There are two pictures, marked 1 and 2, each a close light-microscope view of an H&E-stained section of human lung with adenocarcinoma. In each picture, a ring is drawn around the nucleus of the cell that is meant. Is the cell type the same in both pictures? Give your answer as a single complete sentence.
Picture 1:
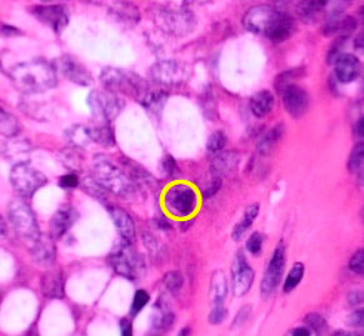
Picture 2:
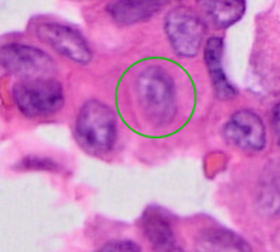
No, picture 1 shows a ciliated epithelial cell and picture 2 shows a carcinoma cell.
